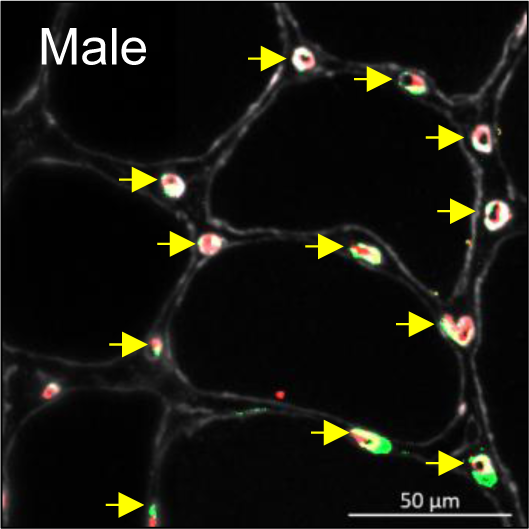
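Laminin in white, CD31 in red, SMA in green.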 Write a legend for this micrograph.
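This is a cross-section of skeletal muscle in which large dark polygonal myocytes are each enclosed by a thin white outline. Small round microvessels lie in the white-outlined spaces between the fibres, many of them at the corners where several fibres meet. The vessels are numerous and scattered fairly evenly around the fibres.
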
